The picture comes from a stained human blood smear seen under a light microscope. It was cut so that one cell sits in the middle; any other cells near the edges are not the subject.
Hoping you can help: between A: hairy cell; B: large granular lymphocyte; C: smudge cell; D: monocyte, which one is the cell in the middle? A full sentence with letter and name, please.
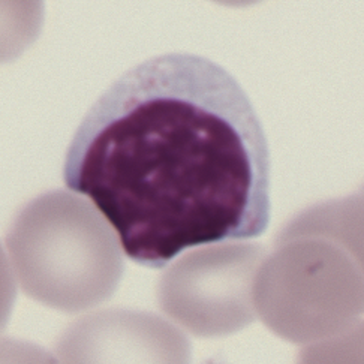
Option B is the right one, for the cell in the middle is a large granular lymphocyte.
